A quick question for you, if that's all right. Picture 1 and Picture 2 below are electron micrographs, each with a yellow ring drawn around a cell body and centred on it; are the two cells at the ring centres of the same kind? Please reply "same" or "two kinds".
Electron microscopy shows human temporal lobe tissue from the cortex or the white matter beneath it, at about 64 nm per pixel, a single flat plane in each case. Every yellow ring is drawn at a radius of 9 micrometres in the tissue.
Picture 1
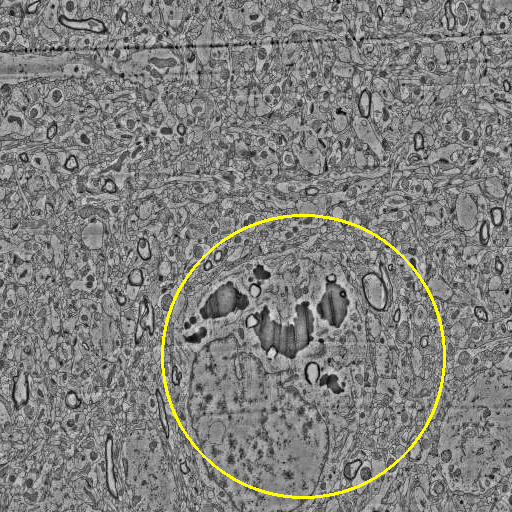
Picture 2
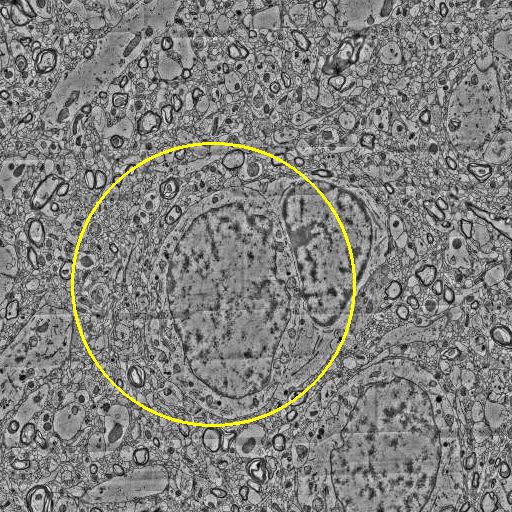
same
